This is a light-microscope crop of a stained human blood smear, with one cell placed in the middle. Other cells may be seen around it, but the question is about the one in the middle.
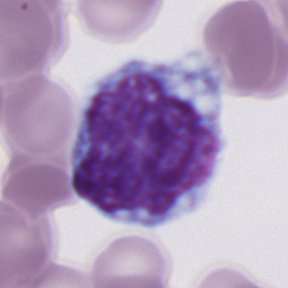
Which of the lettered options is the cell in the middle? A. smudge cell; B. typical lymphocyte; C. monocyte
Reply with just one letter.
C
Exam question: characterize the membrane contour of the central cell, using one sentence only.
The border of the cell is irregular, being either ragged or extended into projections.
